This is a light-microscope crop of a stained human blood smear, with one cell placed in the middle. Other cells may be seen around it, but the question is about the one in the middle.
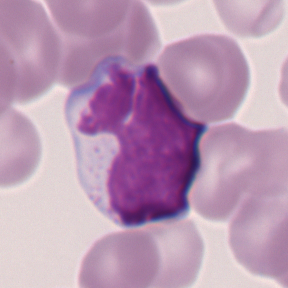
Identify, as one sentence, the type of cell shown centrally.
The cell of interest, located centrally, is a large granular lymphocyte.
